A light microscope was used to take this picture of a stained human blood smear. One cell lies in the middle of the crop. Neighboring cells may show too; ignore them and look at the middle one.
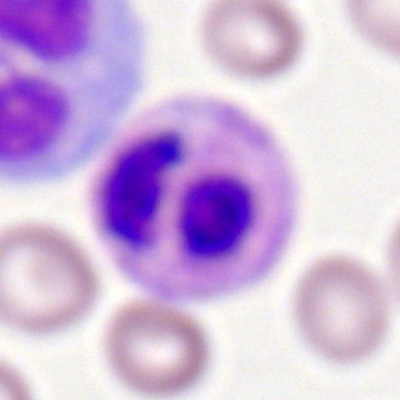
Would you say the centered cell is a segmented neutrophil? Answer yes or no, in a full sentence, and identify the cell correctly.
Yes, the cell that is in the middle is a segmented neutrophil.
